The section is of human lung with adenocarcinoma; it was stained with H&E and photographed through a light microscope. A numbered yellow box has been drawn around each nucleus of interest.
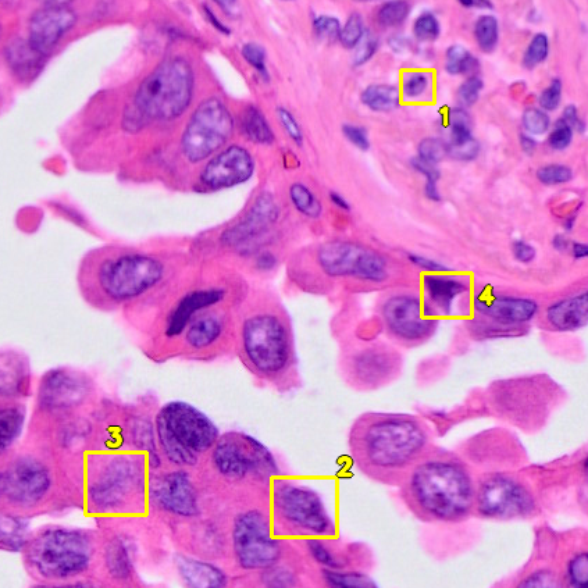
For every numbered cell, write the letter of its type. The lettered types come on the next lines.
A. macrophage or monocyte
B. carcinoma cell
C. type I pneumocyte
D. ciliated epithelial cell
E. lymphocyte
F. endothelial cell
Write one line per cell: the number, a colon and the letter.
1: E
2: B
3: B
4: B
